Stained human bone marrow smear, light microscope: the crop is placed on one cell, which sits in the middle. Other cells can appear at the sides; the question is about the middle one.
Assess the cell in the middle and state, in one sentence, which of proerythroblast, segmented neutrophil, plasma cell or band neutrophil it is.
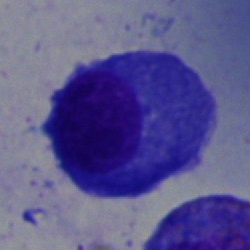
The cell at the middle of the crop is recognized as a plasma cell.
